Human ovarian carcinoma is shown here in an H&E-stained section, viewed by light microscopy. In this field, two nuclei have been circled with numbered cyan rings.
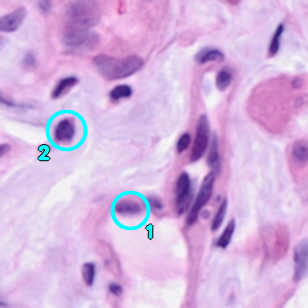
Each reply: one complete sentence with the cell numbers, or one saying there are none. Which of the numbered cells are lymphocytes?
Among the numbered cells, cell 2 alone is a lymphocyte.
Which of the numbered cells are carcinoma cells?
None of the numbered cells qualify as carcinoma cells.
